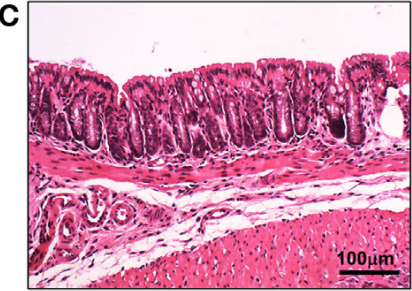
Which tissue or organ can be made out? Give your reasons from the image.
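Mucosa of parallel tubular crypts without villi. Pale goblet cells within the crypt epithelium. Pink muscular layers below the submucosa. So: colons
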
